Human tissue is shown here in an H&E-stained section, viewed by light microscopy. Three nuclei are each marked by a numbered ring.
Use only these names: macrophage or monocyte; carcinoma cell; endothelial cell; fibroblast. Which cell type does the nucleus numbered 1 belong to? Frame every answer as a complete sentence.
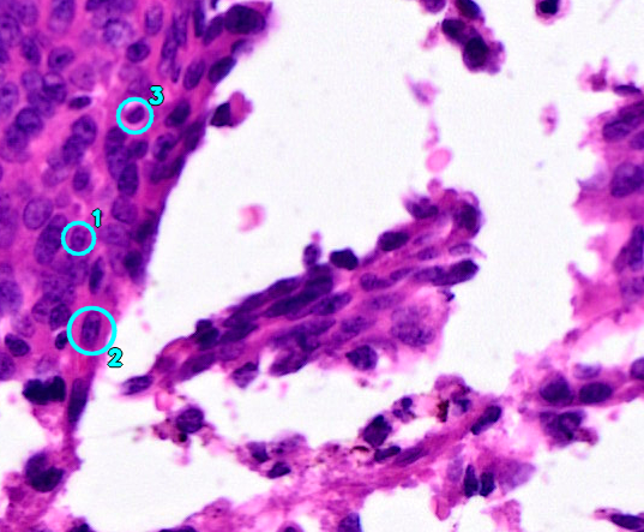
In the tissue shown, cell 1 is a carcinoma cell.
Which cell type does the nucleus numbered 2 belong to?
The marked nucleus 2 is that of an endothelial cell.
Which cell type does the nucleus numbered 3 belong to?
The identity of cell 3 is that of a carcinoma cell.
